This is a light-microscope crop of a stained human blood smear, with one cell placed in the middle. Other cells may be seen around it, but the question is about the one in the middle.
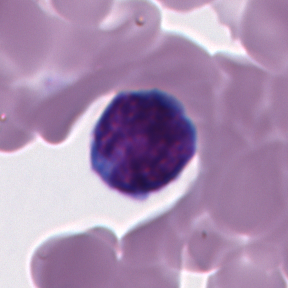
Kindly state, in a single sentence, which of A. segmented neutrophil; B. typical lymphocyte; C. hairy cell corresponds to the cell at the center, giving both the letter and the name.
Option B is correct here, and the cell in the middle is a typical lymphocyte.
